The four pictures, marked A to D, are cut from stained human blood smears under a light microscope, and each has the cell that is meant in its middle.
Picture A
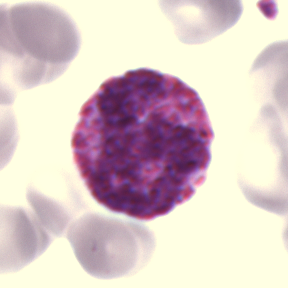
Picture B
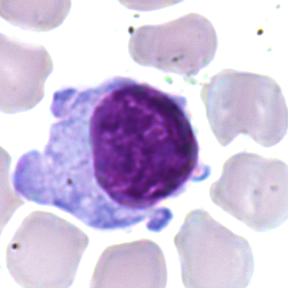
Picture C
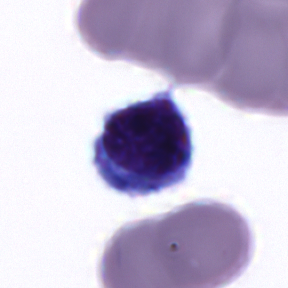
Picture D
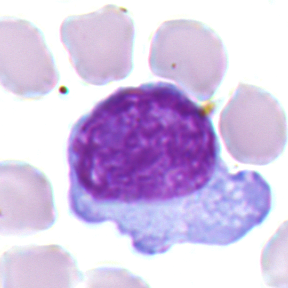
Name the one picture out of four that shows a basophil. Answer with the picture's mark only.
A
